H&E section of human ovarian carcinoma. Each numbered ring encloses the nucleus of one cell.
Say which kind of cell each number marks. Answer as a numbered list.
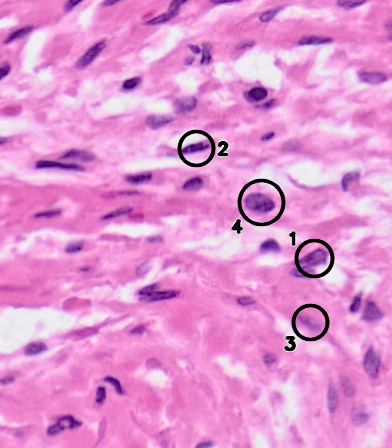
1. fibroblast
2. fibroblast
3. fibroblast
4. macrophage or monocyte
